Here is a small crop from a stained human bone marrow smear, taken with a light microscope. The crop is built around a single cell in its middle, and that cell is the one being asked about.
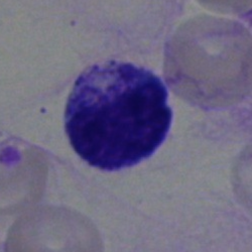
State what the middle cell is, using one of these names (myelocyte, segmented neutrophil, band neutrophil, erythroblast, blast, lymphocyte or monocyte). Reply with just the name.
myelocyte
